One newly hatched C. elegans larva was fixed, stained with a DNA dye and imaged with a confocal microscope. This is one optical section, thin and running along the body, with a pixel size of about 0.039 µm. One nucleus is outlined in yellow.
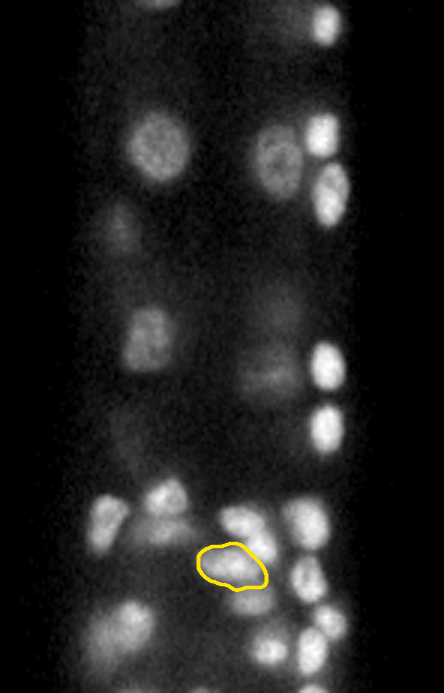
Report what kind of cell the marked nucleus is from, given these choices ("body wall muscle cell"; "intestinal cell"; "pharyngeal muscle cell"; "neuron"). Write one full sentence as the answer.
What is marked is the nucleus of a pharyngeal muscle cell.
